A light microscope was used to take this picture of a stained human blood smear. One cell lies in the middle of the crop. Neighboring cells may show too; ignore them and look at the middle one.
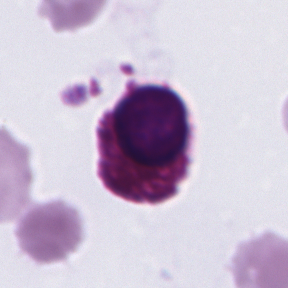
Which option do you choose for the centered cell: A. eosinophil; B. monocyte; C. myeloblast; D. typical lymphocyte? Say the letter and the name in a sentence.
The correct response is option A, naming the cell in the middle as an eosinophil.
